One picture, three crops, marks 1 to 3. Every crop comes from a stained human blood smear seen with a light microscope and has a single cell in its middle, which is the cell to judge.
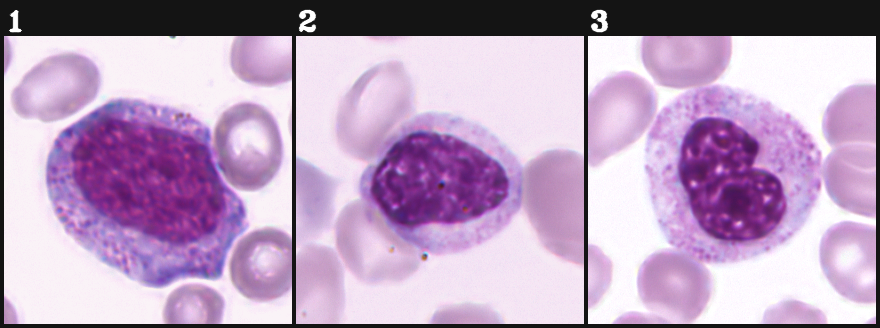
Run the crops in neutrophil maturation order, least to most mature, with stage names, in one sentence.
From least to most mature, the cells come in the order crop 1 (a promyelocyte), crop 2 (a metamyelocyte) and crop 3 (a band neutrophil).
